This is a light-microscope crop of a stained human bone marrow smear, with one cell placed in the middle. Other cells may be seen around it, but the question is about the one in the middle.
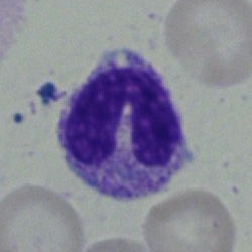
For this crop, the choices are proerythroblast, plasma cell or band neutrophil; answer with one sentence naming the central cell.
Centrally within this crop lies a band neutrophil.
